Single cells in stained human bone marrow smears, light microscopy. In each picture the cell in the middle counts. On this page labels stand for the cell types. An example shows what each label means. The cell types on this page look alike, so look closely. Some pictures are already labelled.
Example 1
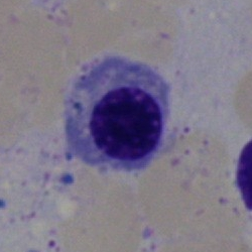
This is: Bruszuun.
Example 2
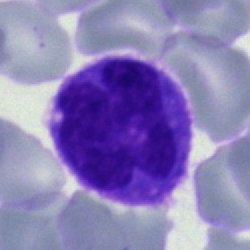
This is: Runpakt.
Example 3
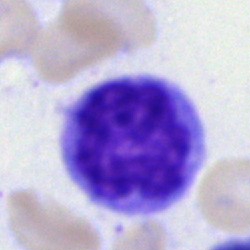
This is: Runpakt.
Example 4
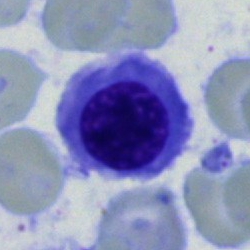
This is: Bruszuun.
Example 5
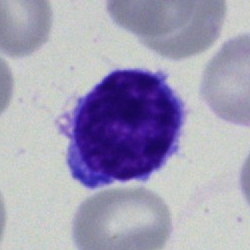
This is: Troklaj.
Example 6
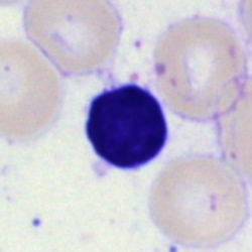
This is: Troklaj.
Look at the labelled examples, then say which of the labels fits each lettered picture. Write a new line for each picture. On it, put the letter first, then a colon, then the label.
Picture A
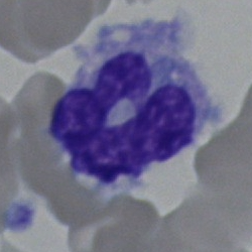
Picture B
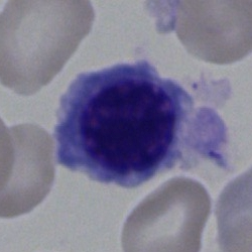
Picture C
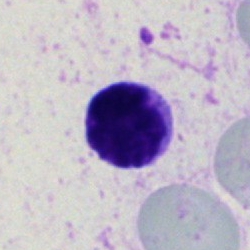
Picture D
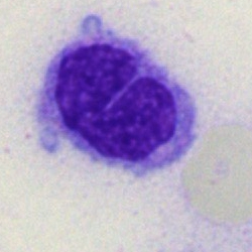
A: Runpakt.
B: Bruszuun.
C: Troklaj.
D: Runpakt.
